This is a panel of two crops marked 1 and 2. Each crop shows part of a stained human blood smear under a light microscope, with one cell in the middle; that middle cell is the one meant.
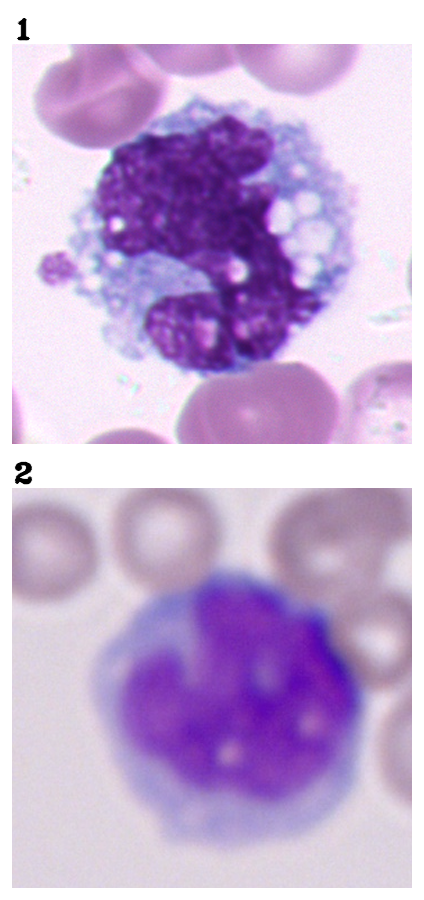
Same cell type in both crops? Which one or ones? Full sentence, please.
Yes, it is monocytes that sit at the centre of both crops.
